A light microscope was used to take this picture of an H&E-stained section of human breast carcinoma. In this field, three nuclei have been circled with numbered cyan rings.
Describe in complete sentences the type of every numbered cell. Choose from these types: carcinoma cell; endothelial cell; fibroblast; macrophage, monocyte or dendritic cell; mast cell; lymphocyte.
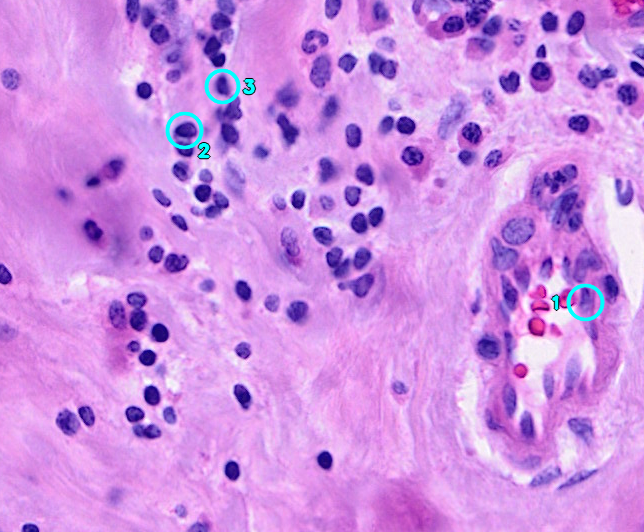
Cell 1 is an endothelial cell, cell 2 is a lymphocyte and cell 3 is a lymphocyte.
